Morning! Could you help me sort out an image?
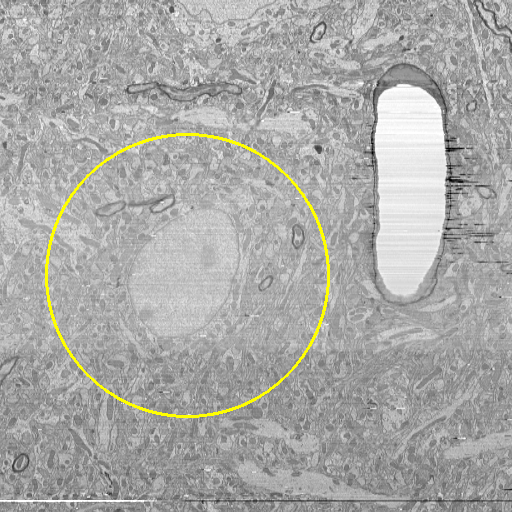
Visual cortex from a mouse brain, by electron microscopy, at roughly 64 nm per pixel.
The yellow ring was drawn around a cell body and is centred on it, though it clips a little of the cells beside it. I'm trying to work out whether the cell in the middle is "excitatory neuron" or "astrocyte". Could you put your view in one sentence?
The ringed cell body is that of an astrocyte.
